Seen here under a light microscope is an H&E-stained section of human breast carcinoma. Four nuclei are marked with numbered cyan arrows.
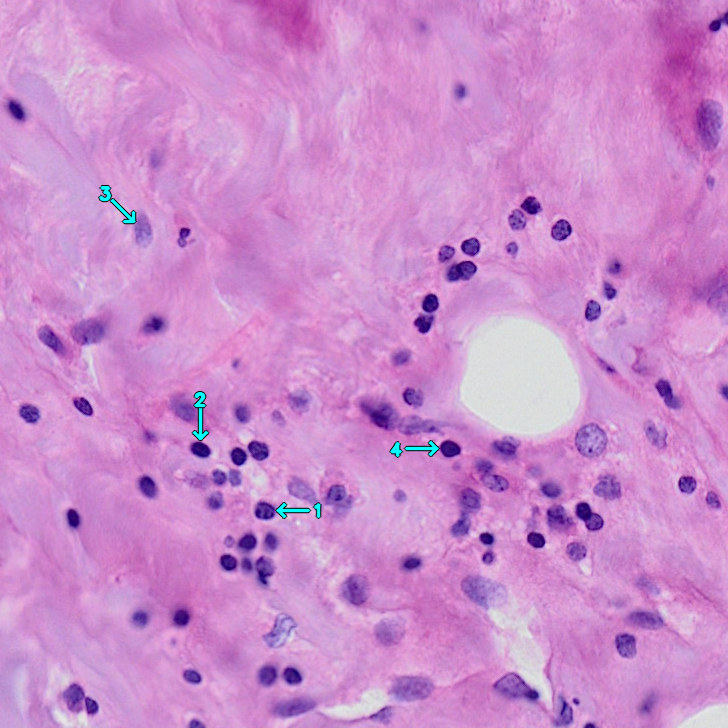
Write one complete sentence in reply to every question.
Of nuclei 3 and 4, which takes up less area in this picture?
Number 4 is smaller, since number 3 takes up about 1.5 times as much area.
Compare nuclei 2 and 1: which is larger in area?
Number 1 is larger; its area is about 1.5 times that of number 2.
